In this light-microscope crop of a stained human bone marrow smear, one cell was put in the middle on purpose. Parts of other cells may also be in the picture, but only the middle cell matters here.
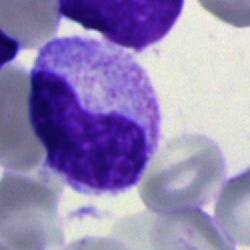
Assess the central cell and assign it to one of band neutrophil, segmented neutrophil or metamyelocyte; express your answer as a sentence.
This particular crop is centered on a metamyelocyte.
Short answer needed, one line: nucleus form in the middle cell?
The nucleus holds together as a single compact mass, round, oval or kidney-like.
